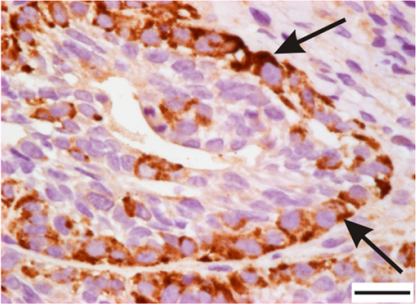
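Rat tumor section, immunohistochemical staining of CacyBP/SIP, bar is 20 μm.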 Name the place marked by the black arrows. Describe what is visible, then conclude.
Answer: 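A duct-like structure surrounds a central pale lumen. The arrows point to strongly brown cells along the outer rim of this structure, away from the lumen. Cells lining the lumen are paler than those at the outer rim. That points to this answer: basal layer of ductal structures.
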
